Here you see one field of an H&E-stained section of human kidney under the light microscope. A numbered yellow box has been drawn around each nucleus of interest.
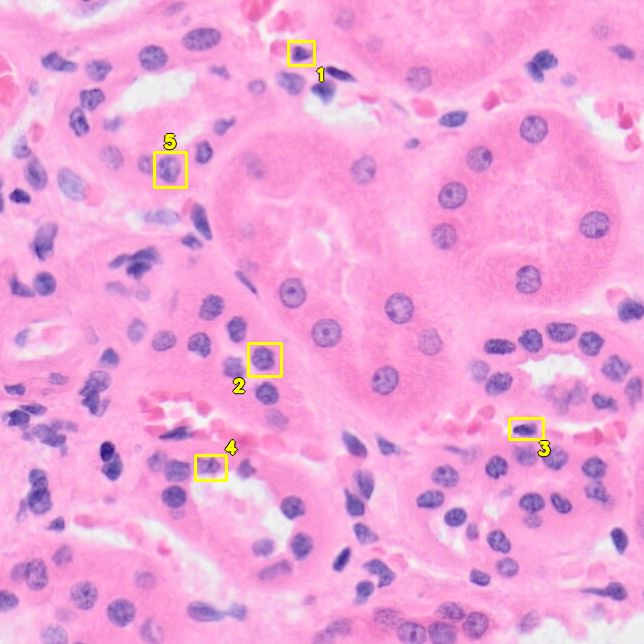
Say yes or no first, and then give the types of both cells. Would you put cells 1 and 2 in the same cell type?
No, with respect, cell 1 is an endothelial cell and cell 2 is a loop of Henle or distal tubule cell.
